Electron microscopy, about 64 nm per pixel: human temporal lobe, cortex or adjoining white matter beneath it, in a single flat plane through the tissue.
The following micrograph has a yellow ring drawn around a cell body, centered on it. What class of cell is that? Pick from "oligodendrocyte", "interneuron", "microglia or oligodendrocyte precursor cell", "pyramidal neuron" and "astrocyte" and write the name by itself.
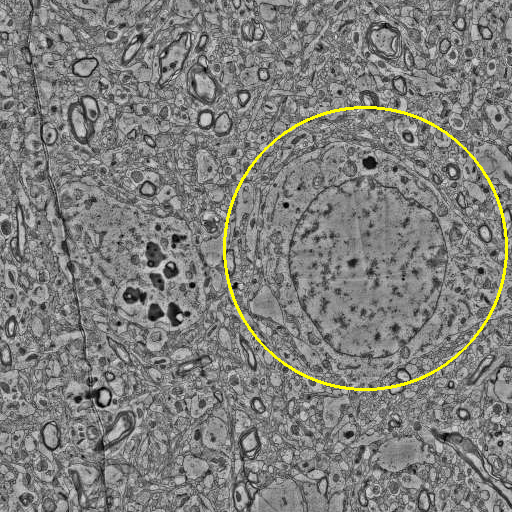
pyramidal neuron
